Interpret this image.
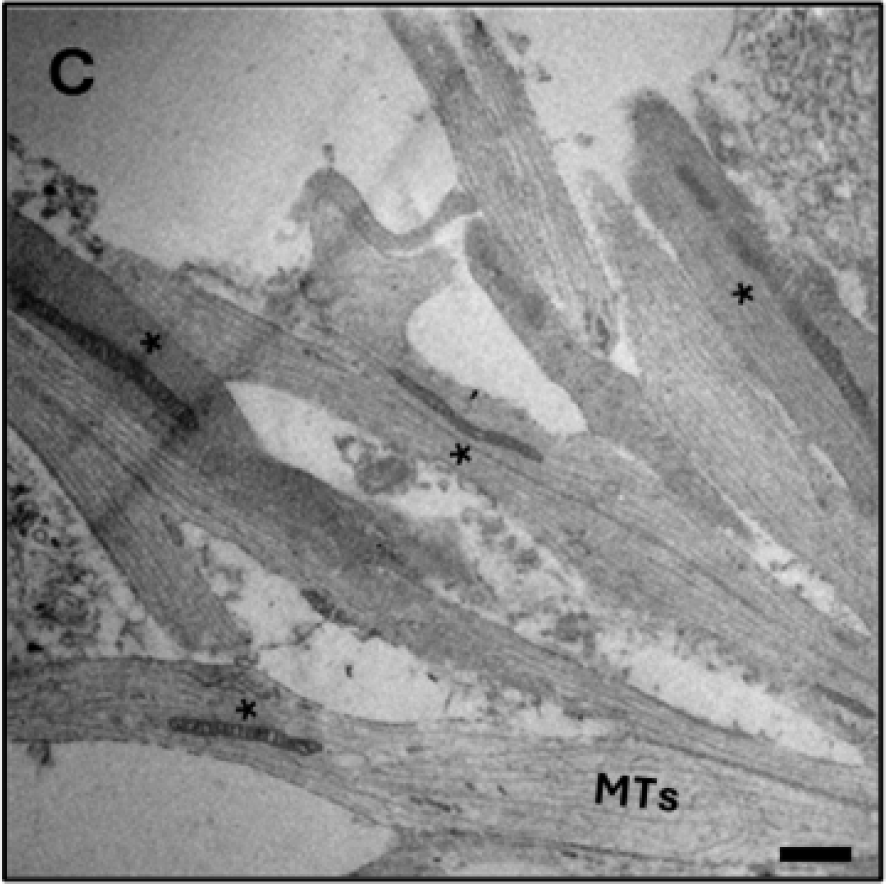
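Within several processes lie elongated, narrow, tubular mitochondria aligned with the long axis of the process, appearing darker than the surrounding cytoplasm. The processes are separated by pale extracellular spaces containing scattered debris and small membrane profiles.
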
